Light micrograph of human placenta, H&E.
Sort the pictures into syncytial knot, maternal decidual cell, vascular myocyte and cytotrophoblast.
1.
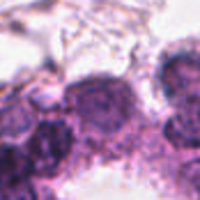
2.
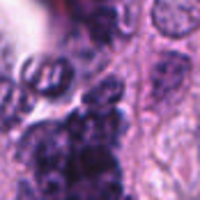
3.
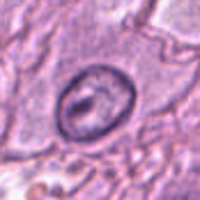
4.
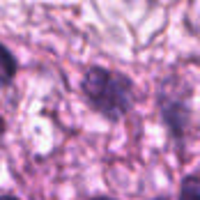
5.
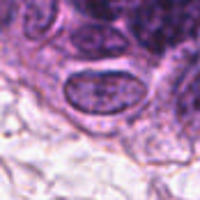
Cytotrophoblasts: 1, 5
Syncytial knots: 2
Maternal decidual cells: 3
Vascular myocytes: 4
